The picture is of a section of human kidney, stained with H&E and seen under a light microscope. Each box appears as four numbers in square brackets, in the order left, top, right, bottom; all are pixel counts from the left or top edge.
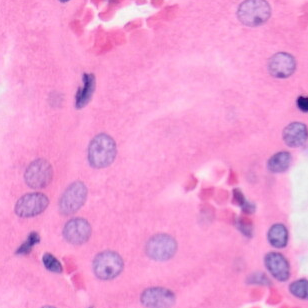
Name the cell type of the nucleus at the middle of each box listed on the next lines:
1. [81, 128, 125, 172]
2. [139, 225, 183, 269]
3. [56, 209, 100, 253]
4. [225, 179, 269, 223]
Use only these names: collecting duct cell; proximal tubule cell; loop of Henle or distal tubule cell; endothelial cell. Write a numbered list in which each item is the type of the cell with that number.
1. proximal tubule cell
2. proximal tubule cell
3. proximal tubule cell
4. endothelial cell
